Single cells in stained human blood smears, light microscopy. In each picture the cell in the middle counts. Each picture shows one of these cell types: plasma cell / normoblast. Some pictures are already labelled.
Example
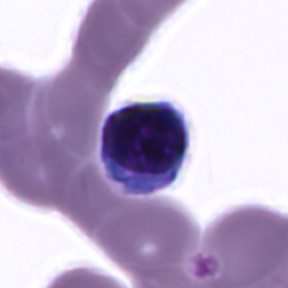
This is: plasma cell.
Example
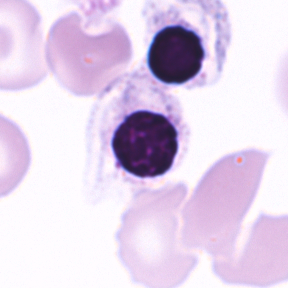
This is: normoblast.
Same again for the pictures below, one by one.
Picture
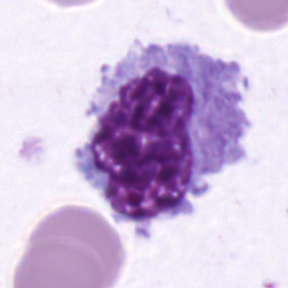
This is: plasma cell.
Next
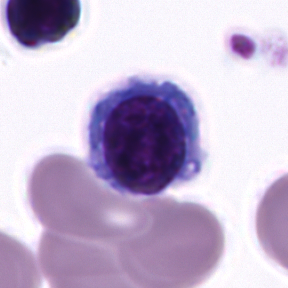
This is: plasma cell.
